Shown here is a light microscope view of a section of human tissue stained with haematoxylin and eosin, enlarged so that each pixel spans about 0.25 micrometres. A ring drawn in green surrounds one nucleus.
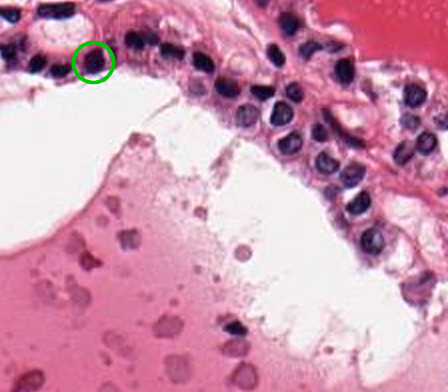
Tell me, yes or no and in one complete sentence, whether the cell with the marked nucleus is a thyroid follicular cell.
Yes, the marked nucleus belongs, in this section, to a thyroid follicular cell.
